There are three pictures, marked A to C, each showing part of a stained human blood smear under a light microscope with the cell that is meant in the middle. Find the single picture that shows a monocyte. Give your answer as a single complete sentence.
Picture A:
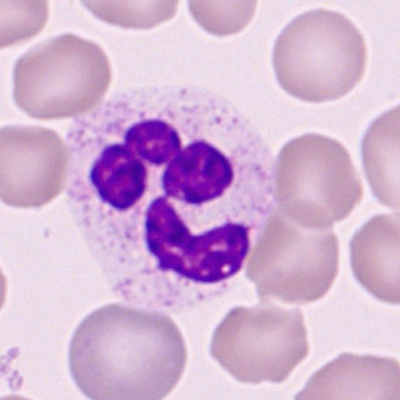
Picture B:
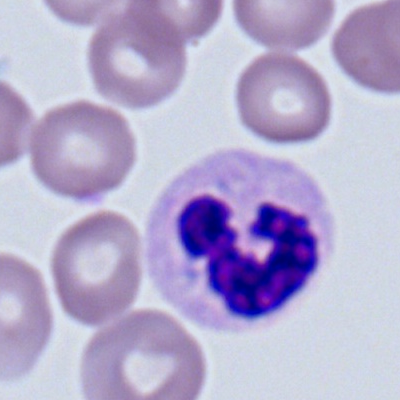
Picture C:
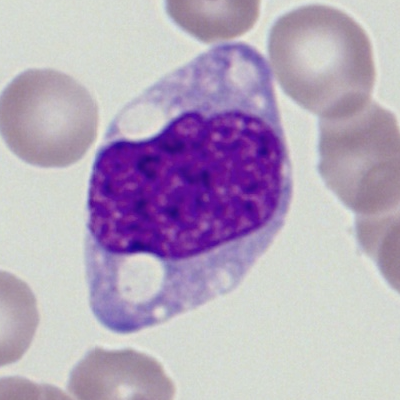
The cell in picture C is the monocyte.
